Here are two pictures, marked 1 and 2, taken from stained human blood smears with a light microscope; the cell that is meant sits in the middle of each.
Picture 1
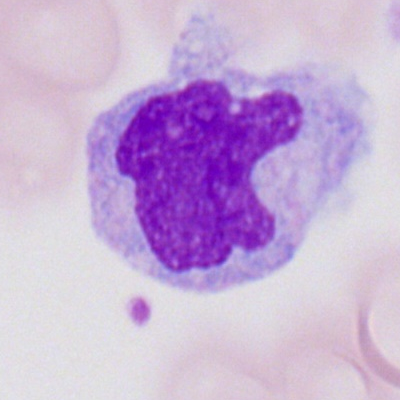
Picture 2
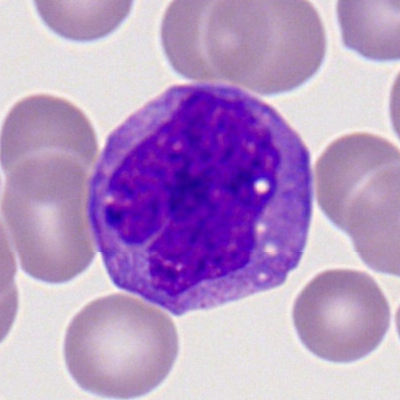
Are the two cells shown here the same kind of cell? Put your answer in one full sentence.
Yes, both cells are monocytes.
